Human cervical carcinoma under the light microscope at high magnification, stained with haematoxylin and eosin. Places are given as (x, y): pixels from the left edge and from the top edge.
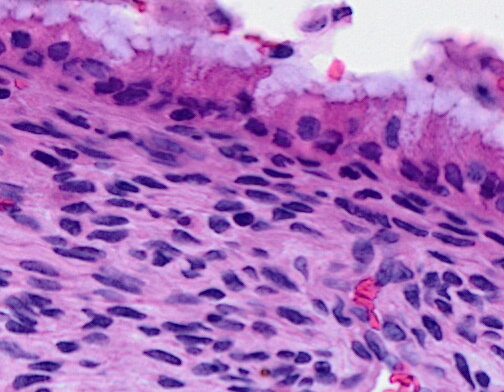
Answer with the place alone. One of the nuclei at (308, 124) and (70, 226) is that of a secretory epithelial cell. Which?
(308, 124)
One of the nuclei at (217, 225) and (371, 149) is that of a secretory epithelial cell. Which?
(371, 149)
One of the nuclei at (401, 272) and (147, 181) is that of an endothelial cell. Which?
(401, 272)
